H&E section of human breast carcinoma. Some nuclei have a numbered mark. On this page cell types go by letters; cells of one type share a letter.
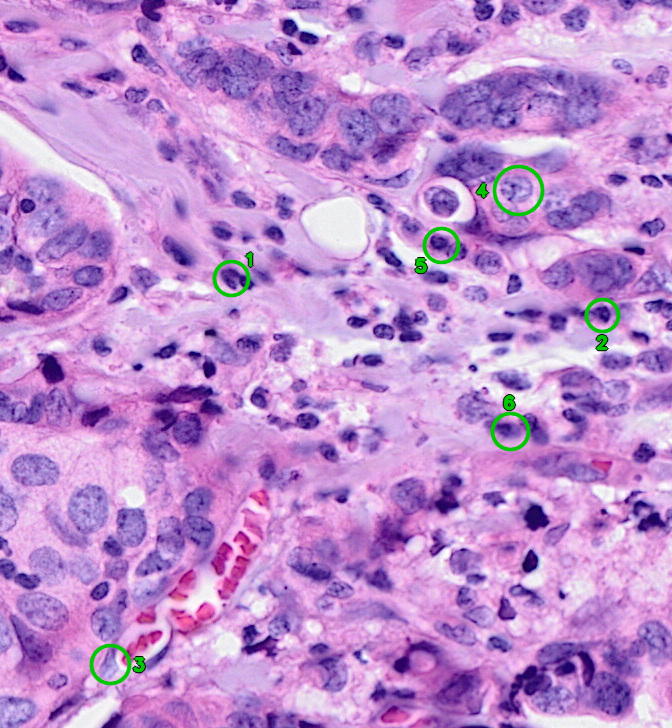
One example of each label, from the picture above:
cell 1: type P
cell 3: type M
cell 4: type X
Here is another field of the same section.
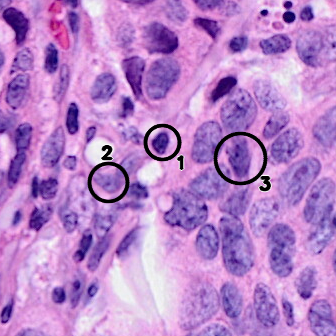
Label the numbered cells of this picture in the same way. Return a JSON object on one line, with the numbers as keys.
{"1": "type P", "2": "type M", "3": "type X"}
